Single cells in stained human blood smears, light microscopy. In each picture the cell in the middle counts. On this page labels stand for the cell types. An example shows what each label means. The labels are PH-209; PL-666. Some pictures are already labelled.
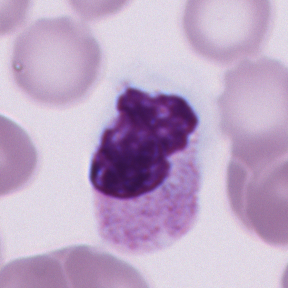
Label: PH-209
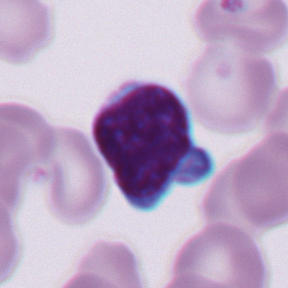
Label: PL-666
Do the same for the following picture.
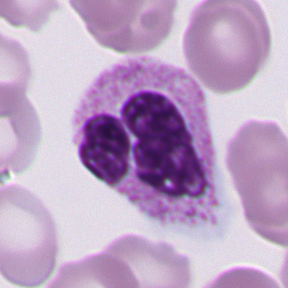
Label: PH-209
